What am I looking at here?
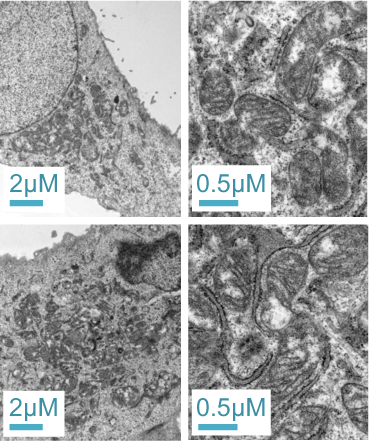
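At low magnification, the upper image shows part of a large nucleus with finely granular chromatin, bordered by cytoplasm that ends at the cell edge against empty background. The lower image shows cytoplasm crowded with dense, rounded and elongated organelles. At high magnification, both rows show many mitochondria with parallel inner membrane folds, lying in a granular cytoplasm among membranous profiles.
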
